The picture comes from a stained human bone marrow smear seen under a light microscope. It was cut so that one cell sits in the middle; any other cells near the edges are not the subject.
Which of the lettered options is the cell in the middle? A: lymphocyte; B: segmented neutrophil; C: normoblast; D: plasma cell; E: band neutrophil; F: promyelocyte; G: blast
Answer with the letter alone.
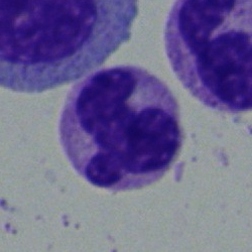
B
